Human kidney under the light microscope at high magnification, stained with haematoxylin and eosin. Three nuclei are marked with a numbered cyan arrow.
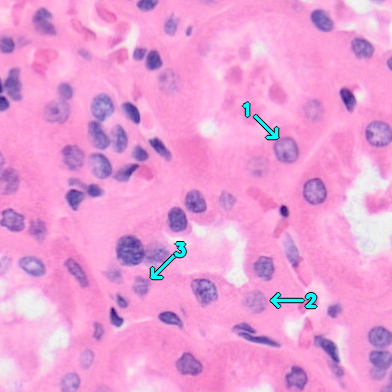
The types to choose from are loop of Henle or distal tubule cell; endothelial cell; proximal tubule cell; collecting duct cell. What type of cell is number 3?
loop of Henle or distal tubule cell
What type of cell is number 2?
loop of Henle or distal tubule cell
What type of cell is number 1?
proximal tubule cell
